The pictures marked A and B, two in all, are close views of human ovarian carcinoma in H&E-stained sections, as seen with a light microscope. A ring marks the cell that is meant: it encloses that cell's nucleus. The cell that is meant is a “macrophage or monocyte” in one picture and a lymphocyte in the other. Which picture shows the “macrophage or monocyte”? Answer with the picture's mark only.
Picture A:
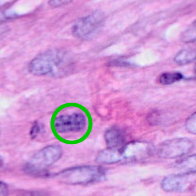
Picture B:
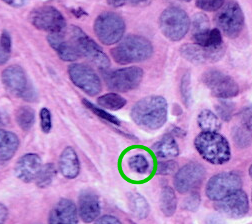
A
